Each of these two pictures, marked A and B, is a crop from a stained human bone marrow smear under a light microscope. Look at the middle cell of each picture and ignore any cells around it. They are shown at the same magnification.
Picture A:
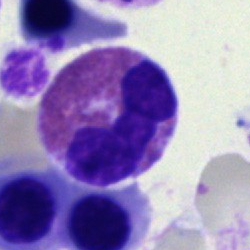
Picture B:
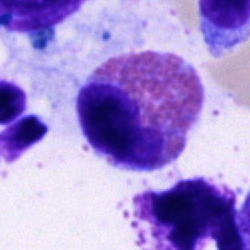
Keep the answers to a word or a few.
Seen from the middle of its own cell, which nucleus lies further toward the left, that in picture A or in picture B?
B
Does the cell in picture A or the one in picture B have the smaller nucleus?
B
